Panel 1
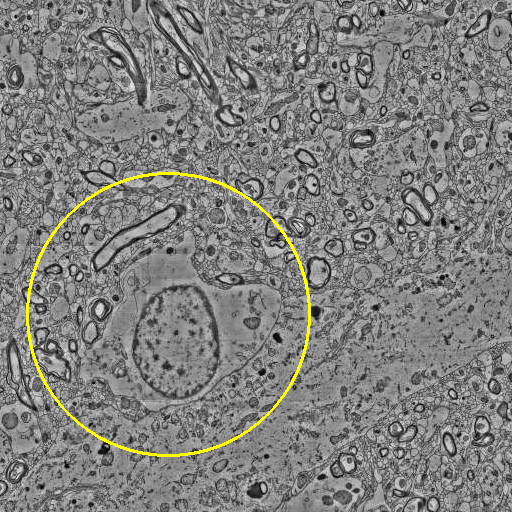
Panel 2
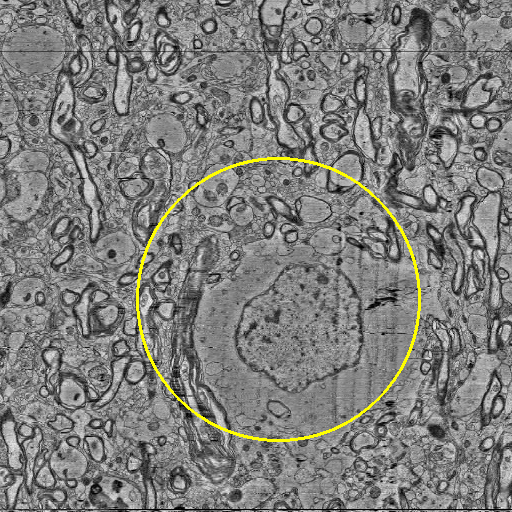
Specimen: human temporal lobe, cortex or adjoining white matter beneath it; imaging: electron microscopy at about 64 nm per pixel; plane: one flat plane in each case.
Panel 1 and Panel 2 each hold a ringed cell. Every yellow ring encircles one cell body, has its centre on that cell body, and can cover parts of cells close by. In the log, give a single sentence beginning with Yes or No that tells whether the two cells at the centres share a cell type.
Yes, in Panel 1 and Panel 2 the centred cells share a cell type.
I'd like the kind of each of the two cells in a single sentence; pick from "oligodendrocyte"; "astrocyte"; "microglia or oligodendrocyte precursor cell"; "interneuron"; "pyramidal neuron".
In each of the two pictures, the ringed cell is an astrocyte.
